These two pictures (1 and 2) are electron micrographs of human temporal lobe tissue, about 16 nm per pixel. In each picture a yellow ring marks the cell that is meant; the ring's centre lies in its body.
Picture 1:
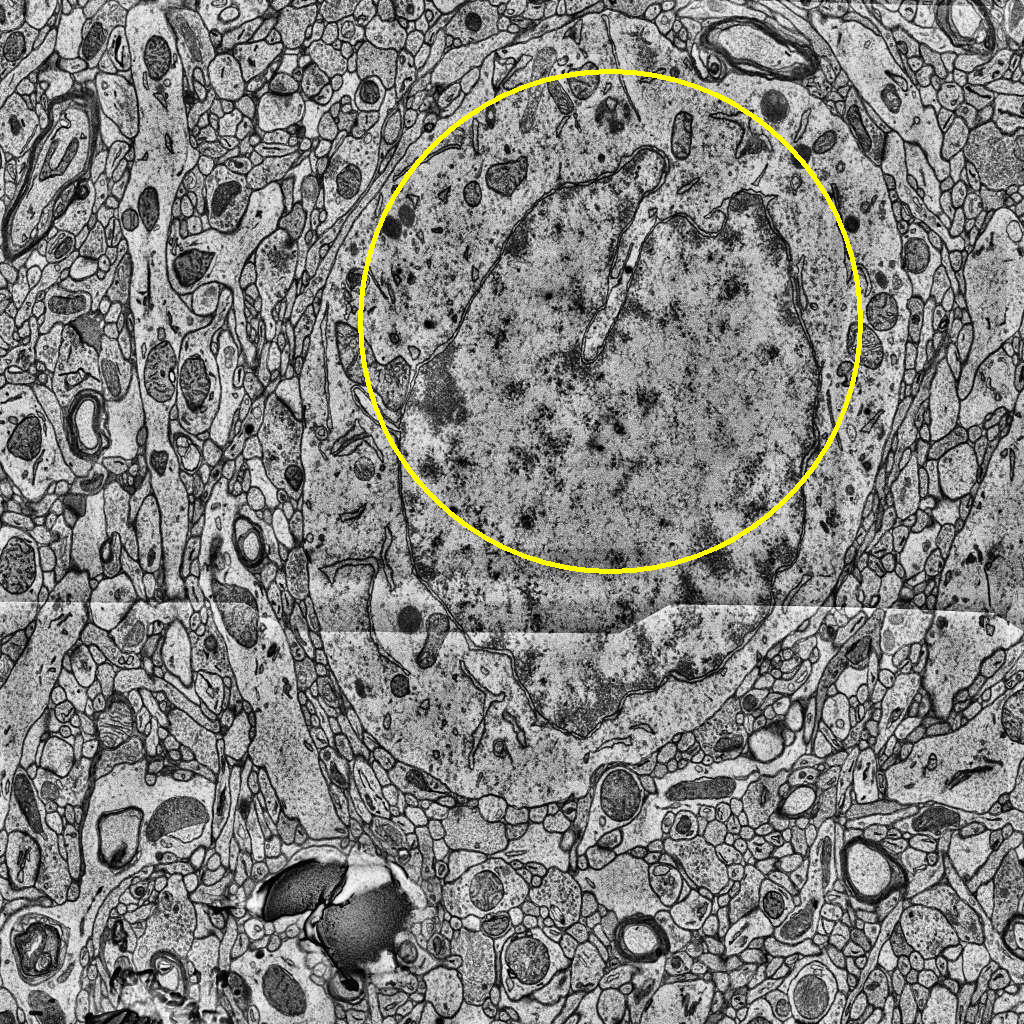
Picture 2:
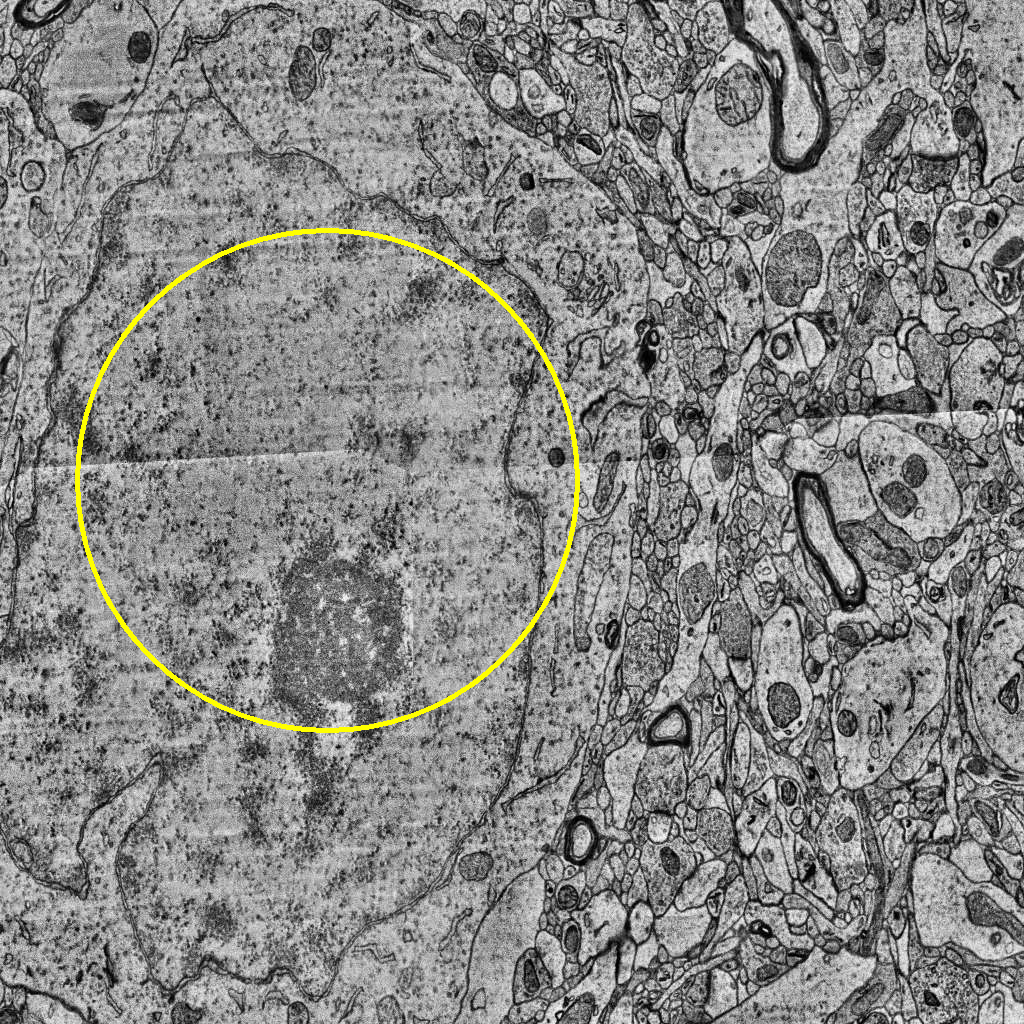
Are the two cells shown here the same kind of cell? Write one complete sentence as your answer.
Yes, the two pictures both show interneurons.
